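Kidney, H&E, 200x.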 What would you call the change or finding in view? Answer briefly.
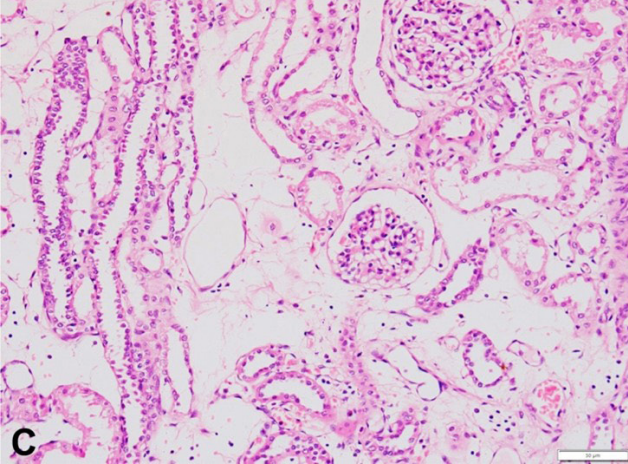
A: Edema.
